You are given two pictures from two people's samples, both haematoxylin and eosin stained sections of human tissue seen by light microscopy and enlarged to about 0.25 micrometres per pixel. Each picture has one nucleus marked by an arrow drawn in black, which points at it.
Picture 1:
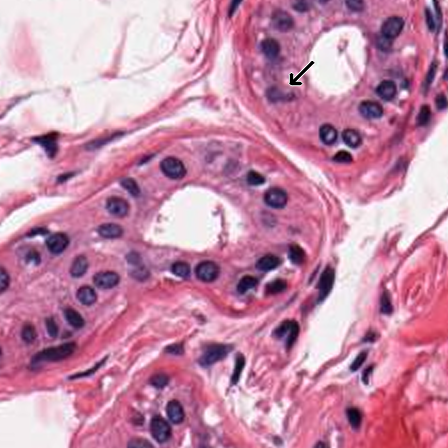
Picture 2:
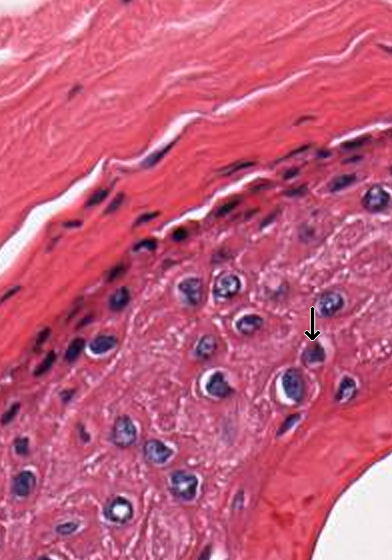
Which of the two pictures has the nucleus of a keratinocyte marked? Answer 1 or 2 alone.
2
